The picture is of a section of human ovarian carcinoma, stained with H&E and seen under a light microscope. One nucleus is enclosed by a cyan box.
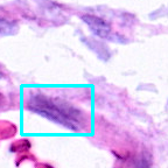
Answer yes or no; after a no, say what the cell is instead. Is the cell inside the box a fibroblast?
No, it is an endothelial cell.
